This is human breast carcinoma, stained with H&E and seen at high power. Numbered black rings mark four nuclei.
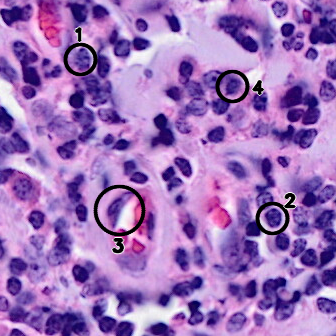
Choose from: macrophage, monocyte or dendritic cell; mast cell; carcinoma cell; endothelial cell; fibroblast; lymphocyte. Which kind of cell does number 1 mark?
lymphocyte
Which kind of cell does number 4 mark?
lymphocyte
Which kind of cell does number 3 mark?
endothelial cell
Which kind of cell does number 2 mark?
lymphocyte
